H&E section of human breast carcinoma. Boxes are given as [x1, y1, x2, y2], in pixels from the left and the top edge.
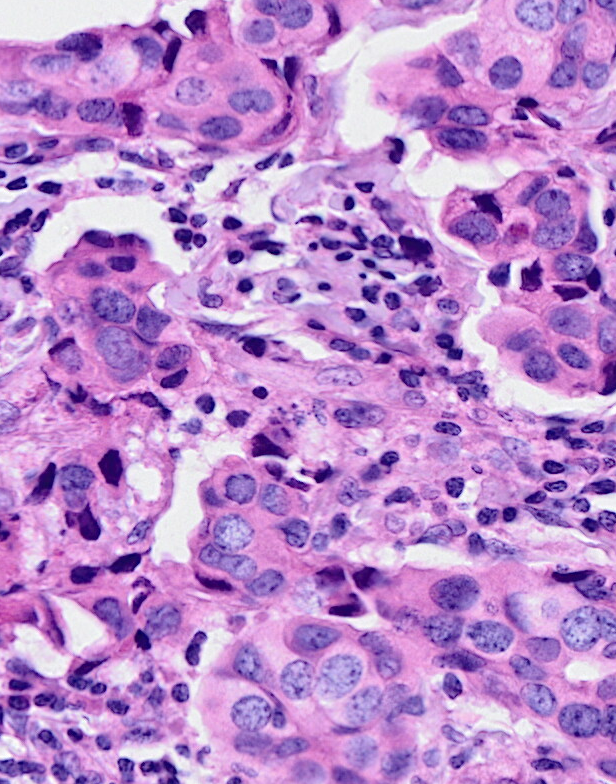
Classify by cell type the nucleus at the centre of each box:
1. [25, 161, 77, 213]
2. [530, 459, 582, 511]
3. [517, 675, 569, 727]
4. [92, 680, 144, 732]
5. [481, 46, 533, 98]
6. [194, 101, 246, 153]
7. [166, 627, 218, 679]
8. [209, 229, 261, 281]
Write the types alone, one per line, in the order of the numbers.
lymphocyte
lymphocyte
carcinoma cell
lymphocyte
carcinoma cell
carcinoma cell
lymphocyte
lymphocyte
